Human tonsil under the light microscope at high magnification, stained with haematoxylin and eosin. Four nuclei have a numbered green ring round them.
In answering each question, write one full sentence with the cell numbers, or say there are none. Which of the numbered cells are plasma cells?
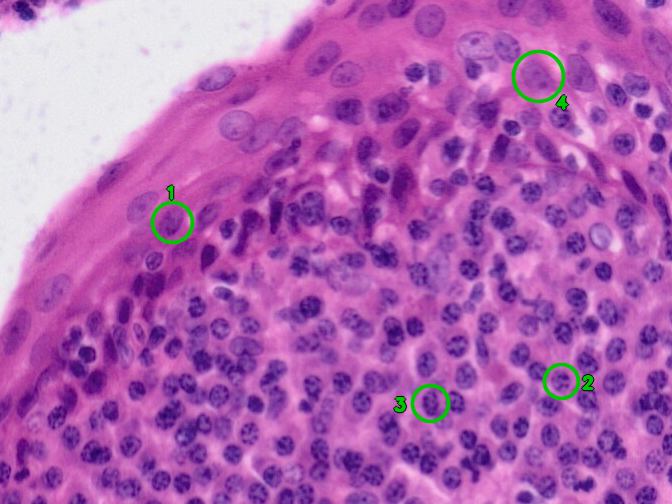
In this section, the cells numbered 2 and 3 are plasma cells.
